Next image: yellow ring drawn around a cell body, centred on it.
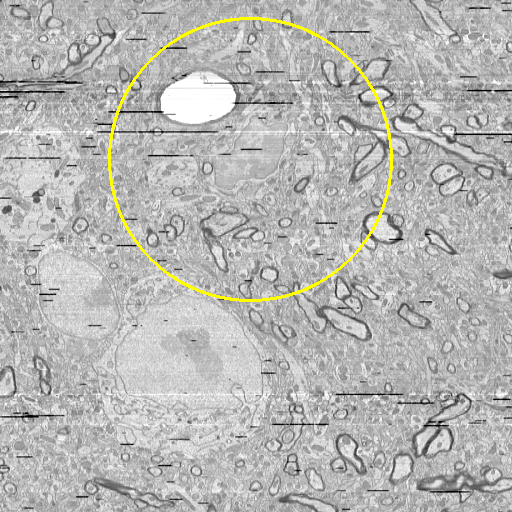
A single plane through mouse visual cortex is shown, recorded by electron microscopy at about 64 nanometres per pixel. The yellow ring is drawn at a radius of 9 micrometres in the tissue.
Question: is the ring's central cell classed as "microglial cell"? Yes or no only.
yes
